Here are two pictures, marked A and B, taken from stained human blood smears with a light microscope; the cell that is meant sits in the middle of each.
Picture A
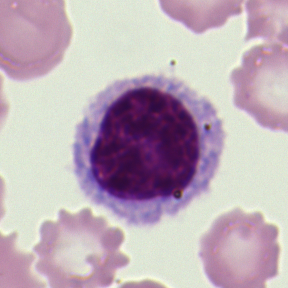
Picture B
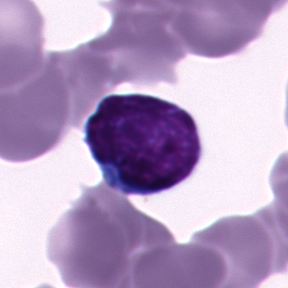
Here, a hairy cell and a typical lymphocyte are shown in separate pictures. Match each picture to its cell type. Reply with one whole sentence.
The cell in picture A is a hairy cell, and the one in picture B is a typical lymphocyte.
